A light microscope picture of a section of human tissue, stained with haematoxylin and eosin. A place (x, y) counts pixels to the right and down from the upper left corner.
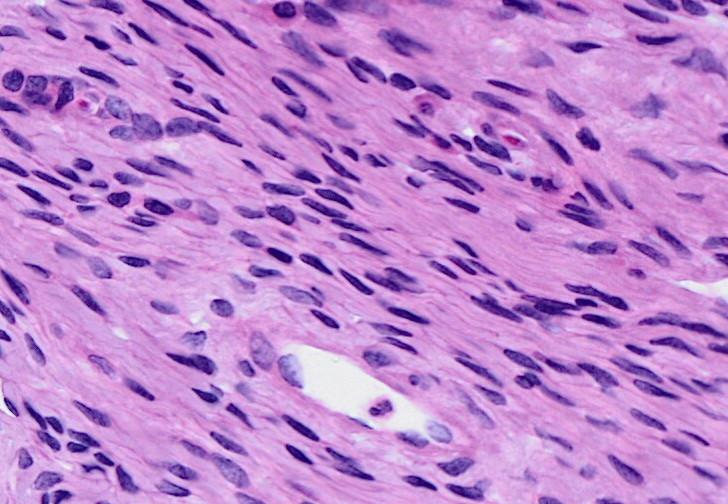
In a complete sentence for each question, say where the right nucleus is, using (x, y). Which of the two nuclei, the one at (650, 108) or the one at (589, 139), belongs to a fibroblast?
That would be the nucleus at (650, 108); it belongs to a fibroblast.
